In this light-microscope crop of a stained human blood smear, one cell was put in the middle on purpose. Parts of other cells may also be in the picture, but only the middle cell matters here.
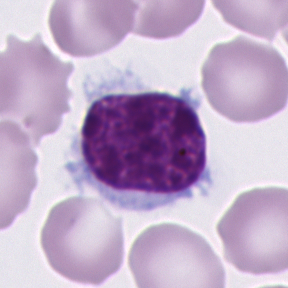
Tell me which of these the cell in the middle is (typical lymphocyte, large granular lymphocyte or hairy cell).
hairy cell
